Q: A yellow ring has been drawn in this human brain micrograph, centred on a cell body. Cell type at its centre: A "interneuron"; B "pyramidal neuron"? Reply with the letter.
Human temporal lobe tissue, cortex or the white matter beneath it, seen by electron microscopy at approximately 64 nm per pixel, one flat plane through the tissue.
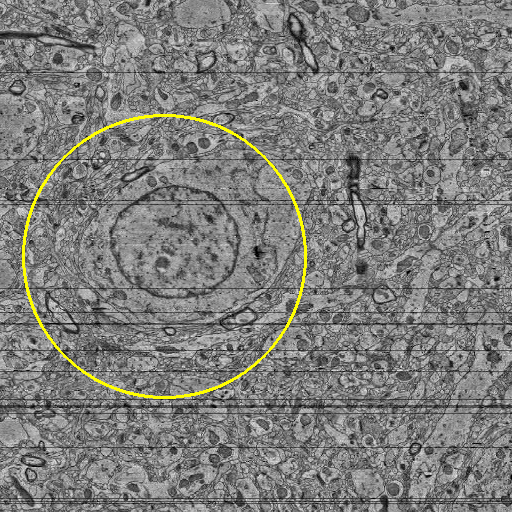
B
